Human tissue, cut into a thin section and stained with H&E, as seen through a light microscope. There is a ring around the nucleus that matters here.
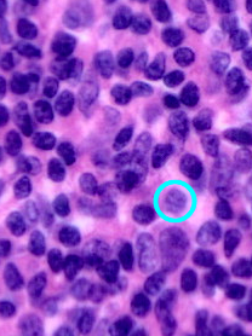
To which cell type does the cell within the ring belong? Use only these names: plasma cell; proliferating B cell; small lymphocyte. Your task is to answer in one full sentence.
The identity of the cell within the ring is that of a proliferating B cell.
